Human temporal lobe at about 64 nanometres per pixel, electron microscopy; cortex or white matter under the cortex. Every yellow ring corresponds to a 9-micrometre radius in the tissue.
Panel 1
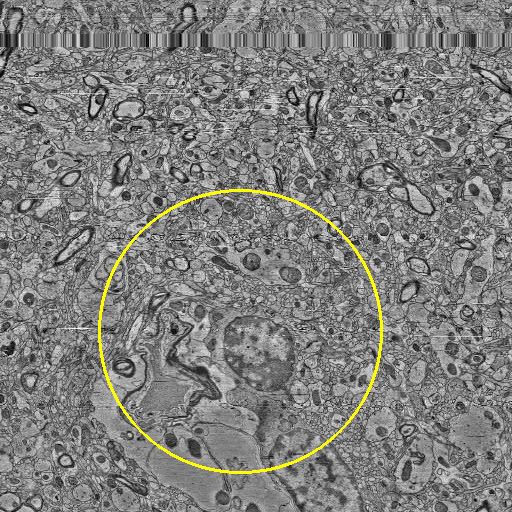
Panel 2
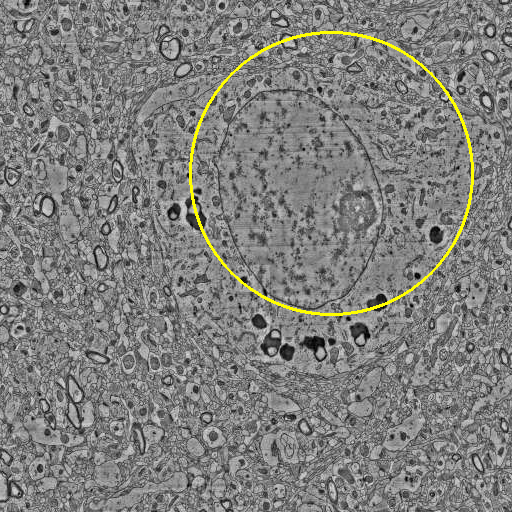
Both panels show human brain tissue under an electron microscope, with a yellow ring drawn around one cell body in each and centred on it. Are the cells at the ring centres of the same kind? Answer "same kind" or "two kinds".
two kinds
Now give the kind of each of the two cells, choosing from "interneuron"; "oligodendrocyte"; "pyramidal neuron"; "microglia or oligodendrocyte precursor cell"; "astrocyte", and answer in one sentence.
The cell in the first picture is an oligodendrocyte, and the cell in the second is a pyramidal neuron.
